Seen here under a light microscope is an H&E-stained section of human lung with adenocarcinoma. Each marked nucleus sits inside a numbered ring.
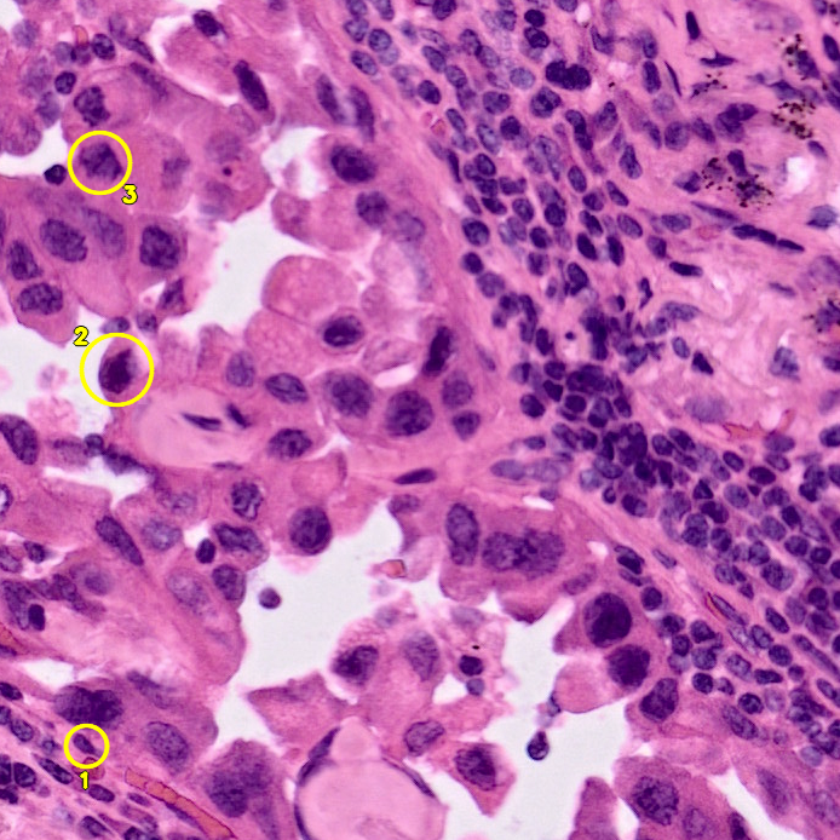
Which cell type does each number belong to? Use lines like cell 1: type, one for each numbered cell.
cell 1: lymphocyte
cell 2: carcinoma cell
cell 3: carcinoma cell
